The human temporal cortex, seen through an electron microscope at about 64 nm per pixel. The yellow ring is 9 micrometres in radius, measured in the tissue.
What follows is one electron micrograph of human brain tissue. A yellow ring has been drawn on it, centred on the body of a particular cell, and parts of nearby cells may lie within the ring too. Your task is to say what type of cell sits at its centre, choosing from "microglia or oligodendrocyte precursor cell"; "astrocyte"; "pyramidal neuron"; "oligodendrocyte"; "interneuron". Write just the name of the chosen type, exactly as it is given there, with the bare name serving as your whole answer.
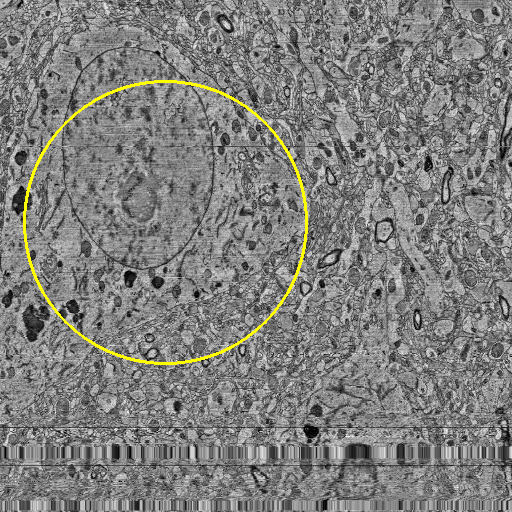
pyramidal neuron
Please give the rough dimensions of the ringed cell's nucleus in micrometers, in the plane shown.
The nucleus comes to roughly 15 by 10 micrometres in this plane.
